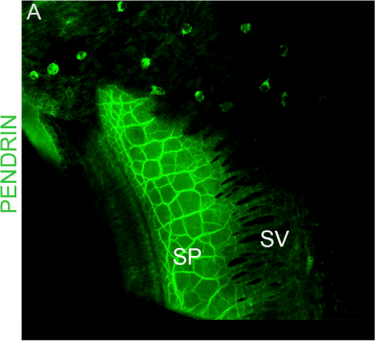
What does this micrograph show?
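This whole mount of the cochlear lateral wall shows a sheet of polygonal cells whose borders are outlined in green, forming a honeycomb-like pattern. The labelled sheet is a discrete band with a clear edge, beyond which there is little green, and a few scattered bright round profiles lie near the top.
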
